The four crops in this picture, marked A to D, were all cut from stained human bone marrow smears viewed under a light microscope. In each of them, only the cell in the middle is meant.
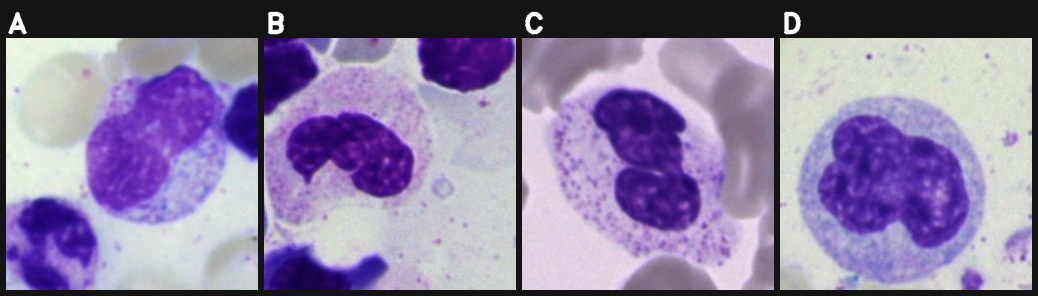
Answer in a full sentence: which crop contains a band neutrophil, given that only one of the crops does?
The crop marked B is the one in which a band neutrophil is shown.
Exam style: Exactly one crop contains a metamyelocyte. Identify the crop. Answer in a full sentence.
The crop marked A is the one in which a metamyelocyte is shown.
